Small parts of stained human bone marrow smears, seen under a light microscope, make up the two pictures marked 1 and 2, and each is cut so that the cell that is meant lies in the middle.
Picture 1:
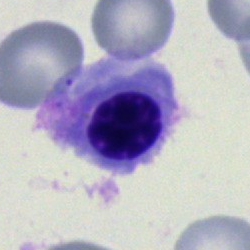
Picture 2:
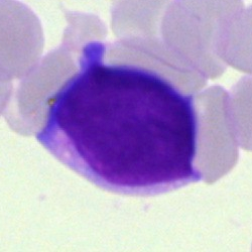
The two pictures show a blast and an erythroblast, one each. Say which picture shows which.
1: erythroblast
2: blast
